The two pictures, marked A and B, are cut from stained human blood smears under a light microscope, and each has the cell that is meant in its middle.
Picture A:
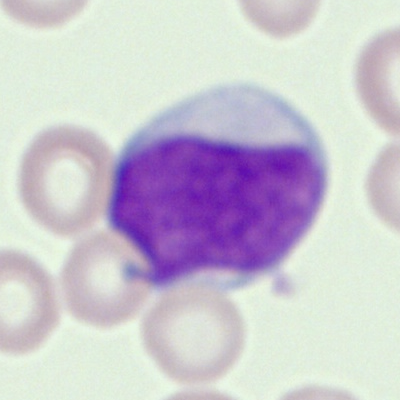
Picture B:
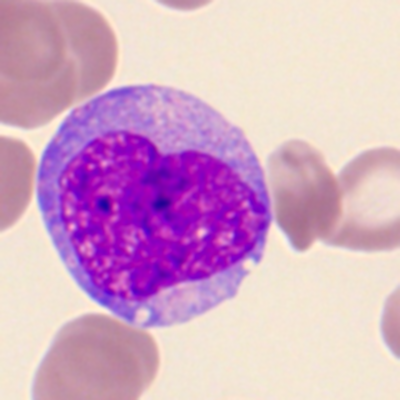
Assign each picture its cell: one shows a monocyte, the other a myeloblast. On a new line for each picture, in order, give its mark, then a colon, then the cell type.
A: myeloblast
B: monocyte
